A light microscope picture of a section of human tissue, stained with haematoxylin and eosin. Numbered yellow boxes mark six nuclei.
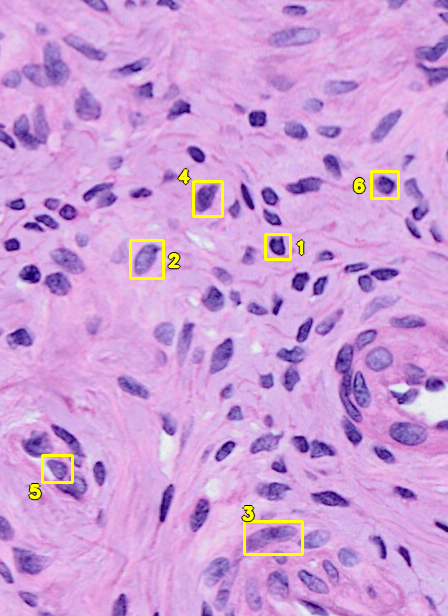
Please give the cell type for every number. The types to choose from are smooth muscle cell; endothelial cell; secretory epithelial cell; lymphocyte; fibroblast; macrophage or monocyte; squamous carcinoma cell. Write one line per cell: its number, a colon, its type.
1: fibroblast
2: fibroblast
3: smooth muscle cell
4: fibroblast
5: endothelial cell
6: fibroblast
